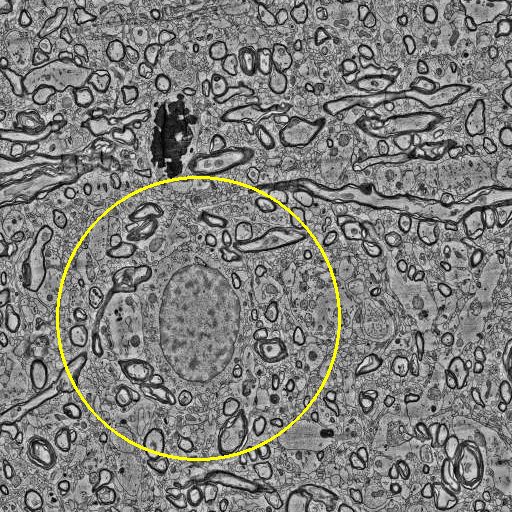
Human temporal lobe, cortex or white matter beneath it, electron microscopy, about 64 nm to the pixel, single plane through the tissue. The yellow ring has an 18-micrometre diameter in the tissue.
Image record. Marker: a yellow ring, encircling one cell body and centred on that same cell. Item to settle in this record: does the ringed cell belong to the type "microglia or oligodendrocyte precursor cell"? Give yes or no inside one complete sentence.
No, in the picture, the cell centred within the yellow ring is of a different type.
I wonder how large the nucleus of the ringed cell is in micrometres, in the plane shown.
The nucleus works out at approximately 8 by 5 micrometres in this plane.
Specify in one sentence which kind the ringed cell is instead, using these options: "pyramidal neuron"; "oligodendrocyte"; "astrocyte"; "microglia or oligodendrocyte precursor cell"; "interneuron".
Instead, the cell inside the ring is an oligodendrocyte.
